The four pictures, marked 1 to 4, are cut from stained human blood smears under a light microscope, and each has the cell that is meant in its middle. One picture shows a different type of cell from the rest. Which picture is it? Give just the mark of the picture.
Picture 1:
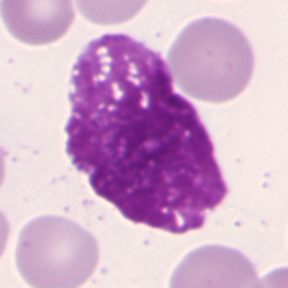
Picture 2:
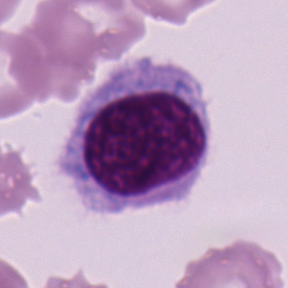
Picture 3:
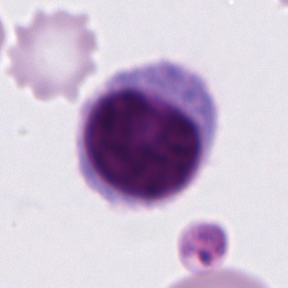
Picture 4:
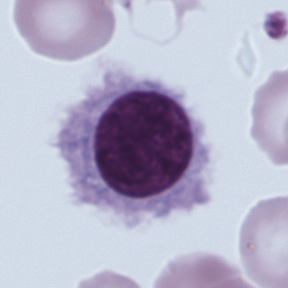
1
